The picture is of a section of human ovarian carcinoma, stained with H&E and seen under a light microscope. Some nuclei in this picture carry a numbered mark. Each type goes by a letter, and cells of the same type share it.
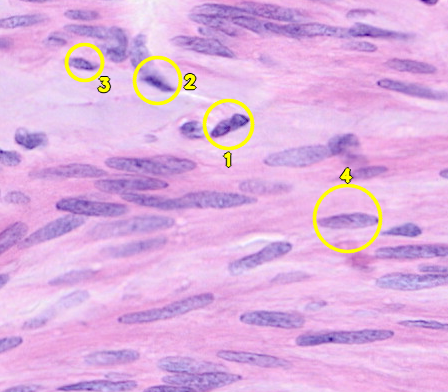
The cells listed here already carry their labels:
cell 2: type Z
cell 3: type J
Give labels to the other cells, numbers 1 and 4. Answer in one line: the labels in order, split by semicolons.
type Z; type J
